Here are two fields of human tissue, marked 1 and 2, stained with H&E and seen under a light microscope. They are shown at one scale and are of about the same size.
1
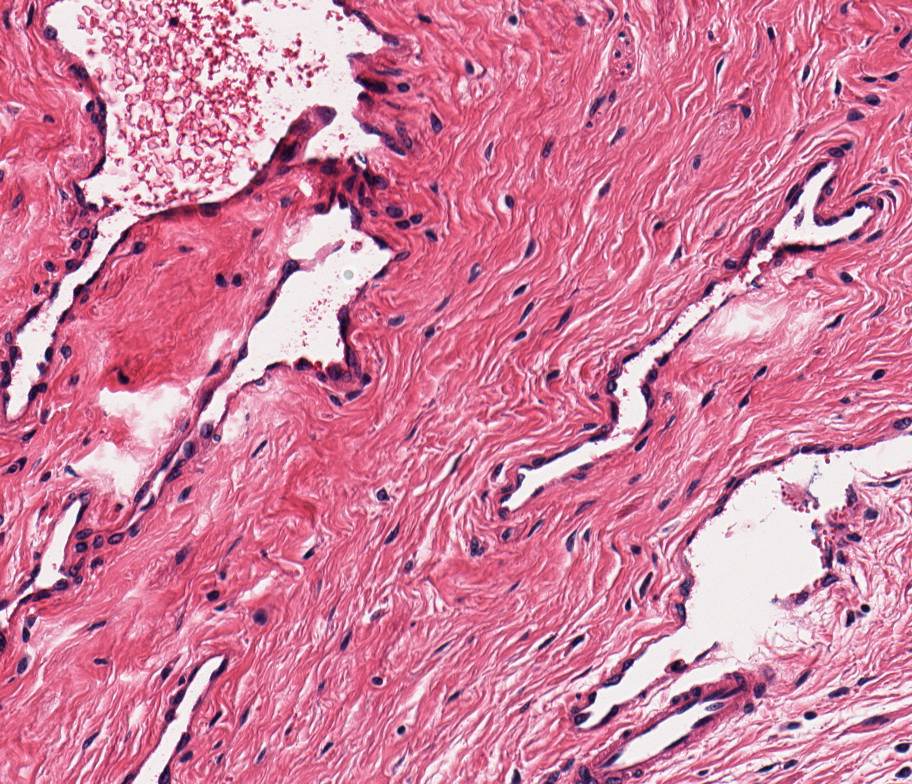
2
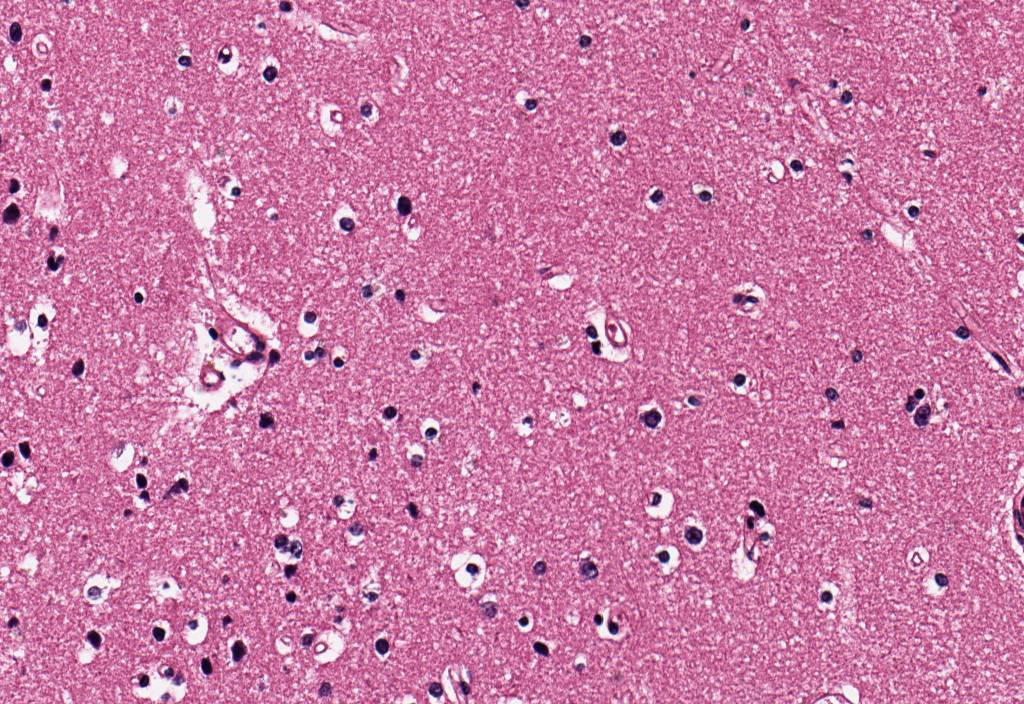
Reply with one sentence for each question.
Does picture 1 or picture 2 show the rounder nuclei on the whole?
On the whole the nuclei of picture 2 are rounder than those of picture 1.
